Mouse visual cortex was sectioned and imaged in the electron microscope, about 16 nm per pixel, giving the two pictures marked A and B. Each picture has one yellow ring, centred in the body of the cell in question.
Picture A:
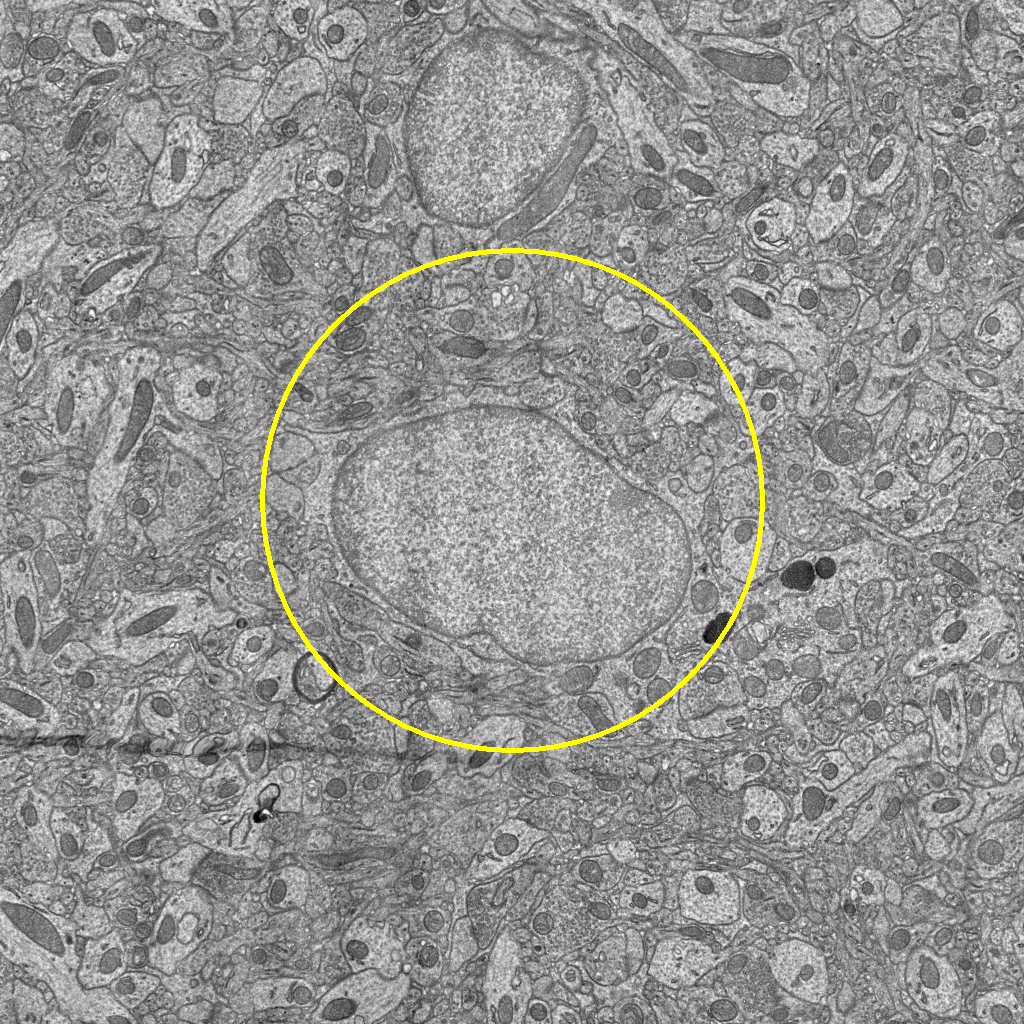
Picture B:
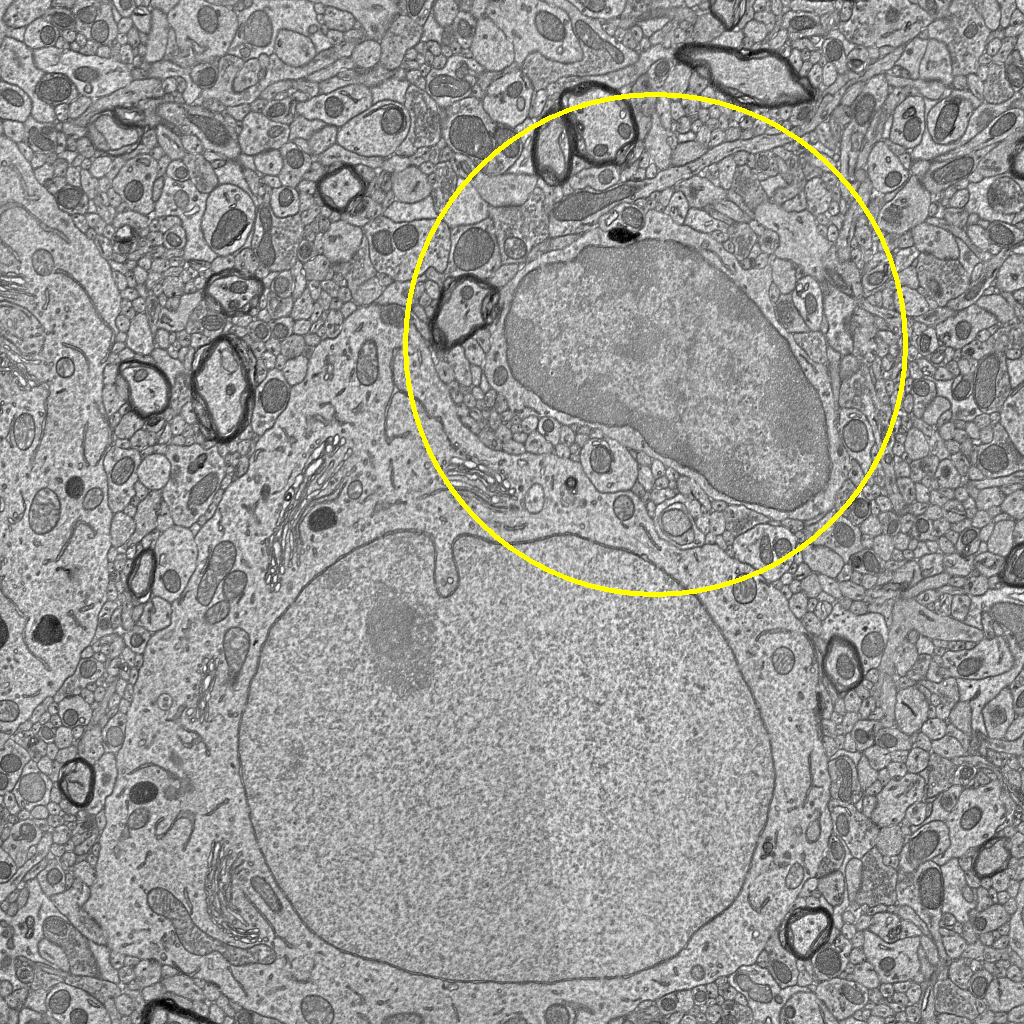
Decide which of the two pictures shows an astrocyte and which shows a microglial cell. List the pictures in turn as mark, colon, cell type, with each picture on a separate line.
A: astrocyte
B: microglial cell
